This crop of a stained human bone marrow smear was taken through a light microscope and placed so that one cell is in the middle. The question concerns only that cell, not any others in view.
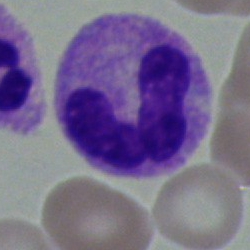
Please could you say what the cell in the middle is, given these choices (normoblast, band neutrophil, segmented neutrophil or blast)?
band neutrophil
